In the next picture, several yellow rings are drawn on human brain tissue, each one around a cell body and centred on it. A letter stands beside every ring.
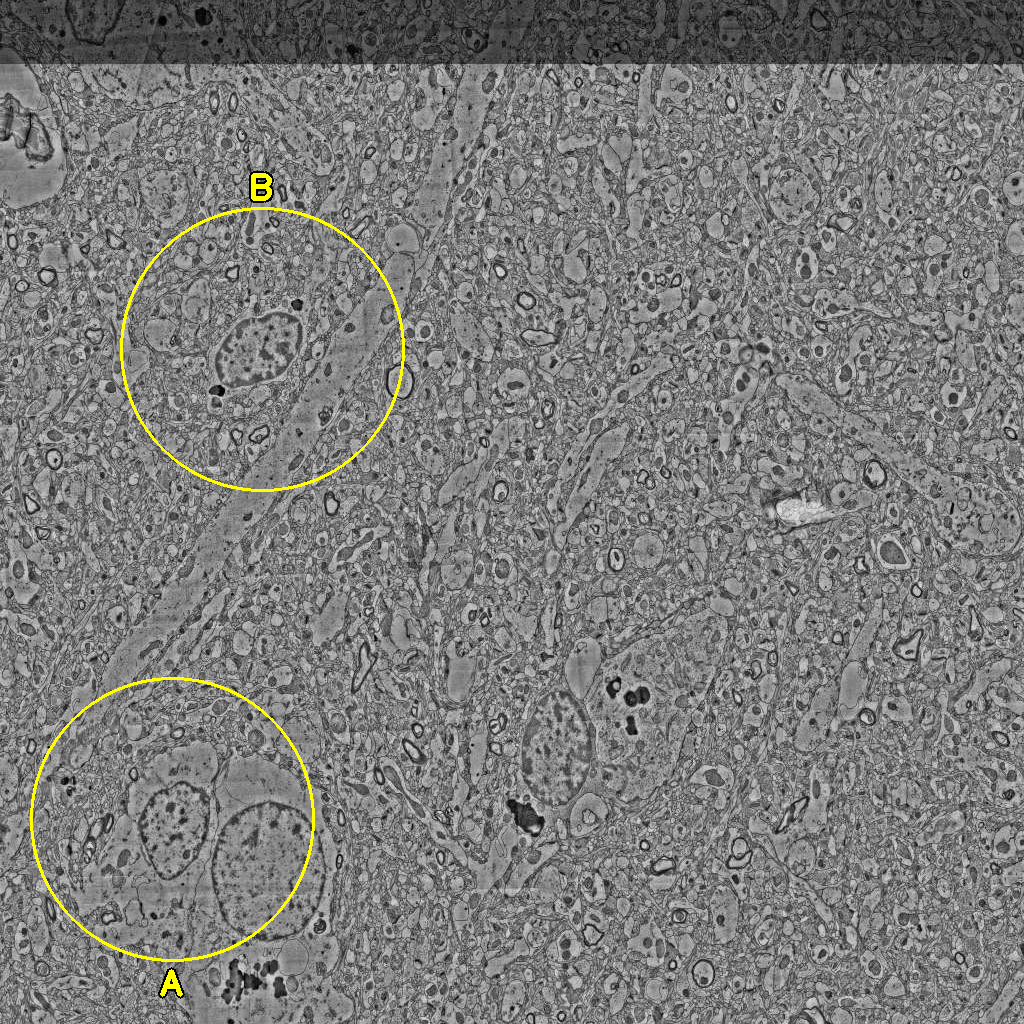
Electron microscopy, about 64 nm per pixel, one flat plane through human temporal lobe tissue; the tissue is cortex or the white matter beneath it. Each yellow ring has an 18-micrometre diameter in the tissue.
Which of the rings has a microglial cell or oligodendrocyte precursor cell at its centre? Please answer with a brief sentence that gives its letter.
Ring B has it at its centre.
